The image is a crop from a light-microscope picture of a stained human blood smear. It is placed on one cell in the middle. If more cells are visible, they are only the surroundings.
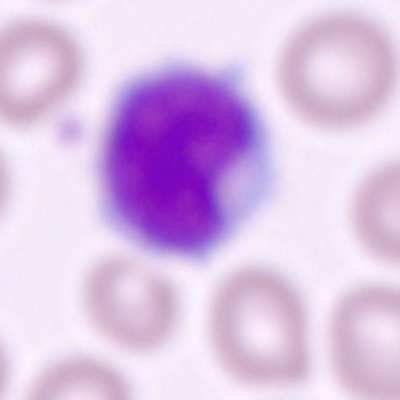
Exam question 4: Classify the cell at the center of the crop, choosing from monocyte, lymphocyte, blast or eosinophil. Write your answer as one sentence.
The cell that lies at the centre of the crop is a lymphocyte.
